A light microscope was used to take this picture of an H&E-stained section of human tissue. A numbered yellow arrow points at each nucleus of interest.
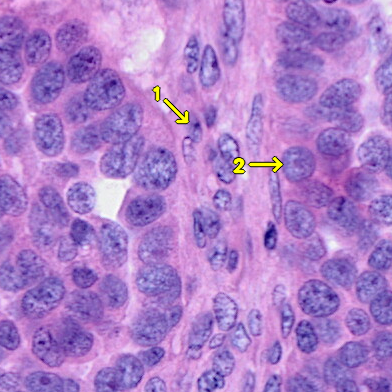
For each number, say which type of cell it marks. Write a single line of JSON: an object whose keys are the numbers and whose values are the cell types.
{"1": "fibroblast", "2": "carcinoma cell"}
